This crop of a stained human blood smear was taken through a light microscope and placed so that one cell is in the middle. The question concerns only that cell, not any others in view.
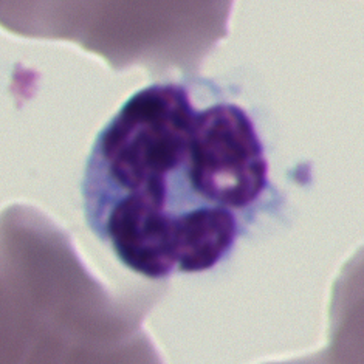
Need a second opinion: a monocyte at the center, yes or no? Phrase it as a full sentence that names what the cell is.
Yes, the cell at the middle of the field is to be classed as a monocyte.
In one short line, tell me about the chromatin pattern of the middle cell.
If you check the nucleus, you will find the chromatin coarsely clumped.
